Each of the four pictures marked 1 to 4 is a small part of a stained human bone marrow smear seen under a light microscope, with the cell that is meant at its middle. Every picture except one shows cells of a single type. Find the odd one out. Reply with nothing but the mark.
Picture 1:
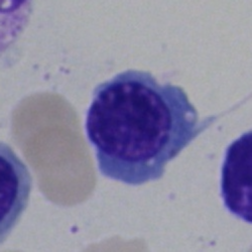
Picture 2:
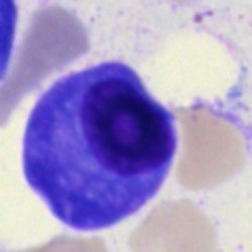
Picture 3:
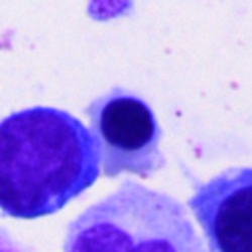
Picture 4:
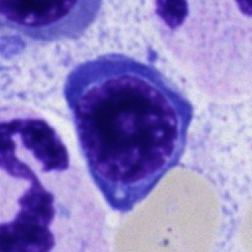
2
